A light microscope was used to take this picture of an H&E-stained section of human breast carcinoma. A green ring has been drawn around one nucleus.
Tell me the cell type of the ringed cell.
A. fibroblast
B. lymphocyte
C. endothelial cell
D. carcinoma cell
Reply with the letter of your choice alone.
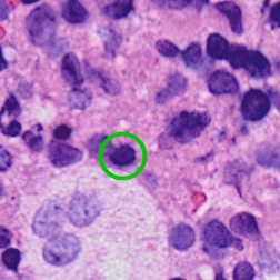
D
